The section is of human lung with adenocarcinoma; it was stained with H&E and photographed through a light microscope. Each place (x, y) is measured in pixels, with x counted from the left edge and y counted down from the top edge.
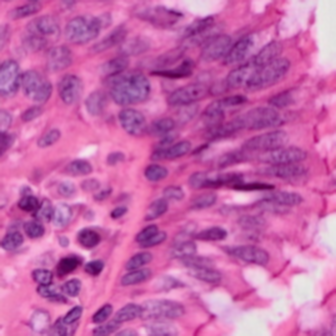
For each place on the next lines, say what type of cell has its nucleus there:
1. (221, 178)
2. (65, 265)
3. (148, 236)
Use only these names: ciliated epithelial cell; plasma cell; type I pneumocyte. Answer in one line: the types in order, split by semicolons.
ciliated epithelial cell; plasma cell; ciliated epithelial cell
